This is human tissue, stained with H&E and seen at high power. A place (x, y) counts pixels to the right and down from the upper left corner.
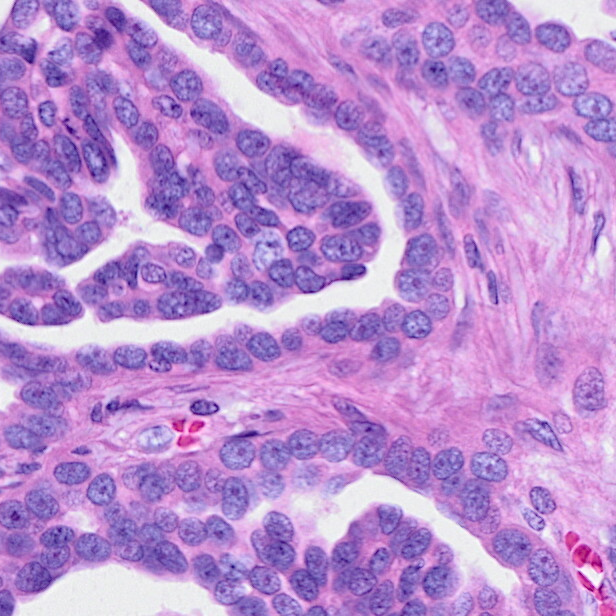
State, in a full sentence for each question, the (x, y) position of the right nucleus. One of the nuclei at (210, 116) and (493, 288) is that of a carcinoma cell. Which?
Here the nucleus at (210, 116) is the one that belongs to a carcinoma cell.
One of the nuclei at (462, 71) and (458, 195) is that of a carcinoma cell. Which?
Here the nucleus at (462, 71) is the one that belongs to a carcinoma cell.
